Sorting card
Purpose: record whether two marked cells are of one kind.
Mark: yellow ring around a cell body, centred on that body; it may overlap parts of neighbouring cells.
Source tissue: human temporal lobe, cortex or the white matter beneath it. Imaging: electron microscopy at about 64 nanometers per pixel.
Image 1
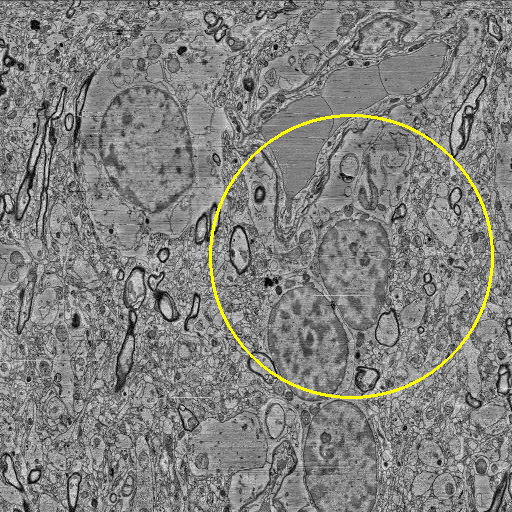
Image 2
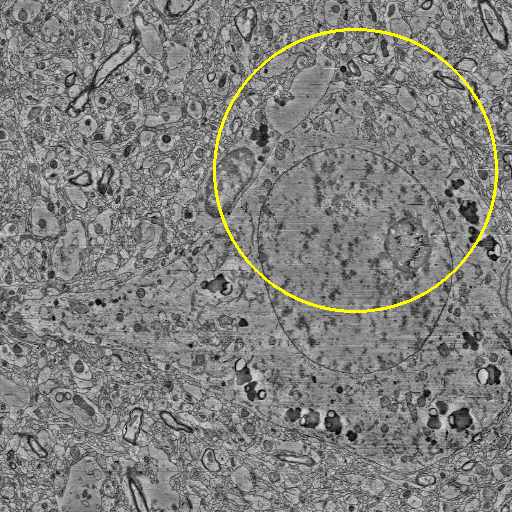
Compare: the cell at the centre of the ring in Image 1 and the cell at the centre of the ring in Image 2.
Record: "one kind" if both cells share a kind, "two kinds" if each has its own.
two kinds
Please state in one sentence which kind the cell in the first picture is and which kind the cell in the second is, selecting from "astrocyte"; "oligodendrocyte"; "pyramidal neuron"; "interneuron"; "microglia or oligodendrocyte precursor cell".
The first ringed cell is an oligodendrocyte, the second ringed cell a pyramidal neuron.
